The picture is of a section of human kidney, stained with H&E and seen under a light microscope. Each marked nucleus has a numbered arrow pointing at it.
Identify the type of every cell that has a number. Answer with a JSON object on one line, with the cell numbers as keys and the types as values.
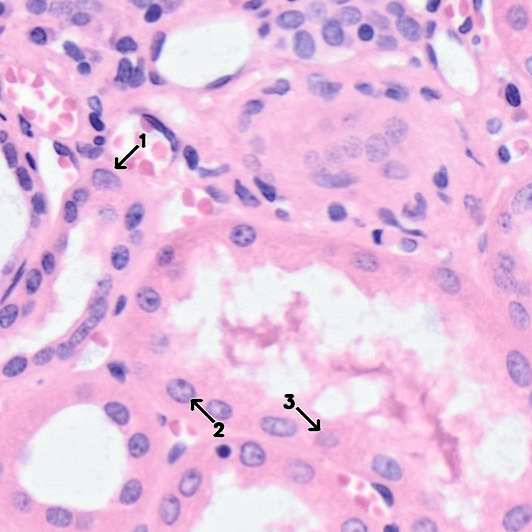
{"1": "collecting duct cell", "2": "proximal tubule cell", "3": "proximal tubule cell"}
